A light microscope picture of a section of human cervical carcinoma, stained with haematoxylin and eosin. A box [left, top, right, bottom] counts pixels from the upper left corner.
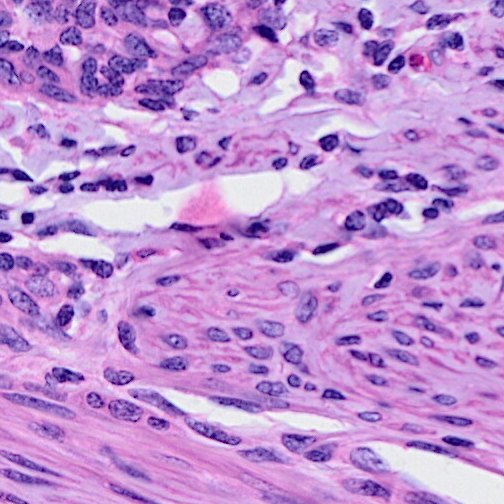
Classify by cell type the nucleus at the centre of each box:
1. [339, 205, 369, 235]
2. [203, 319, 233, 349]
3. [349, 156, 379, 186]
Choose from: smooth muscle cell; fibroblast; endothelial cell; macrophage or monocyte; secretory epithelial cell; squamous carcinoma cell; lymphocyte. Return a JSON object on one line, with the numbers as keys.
{"1": "lymphocyte", "2": "smooth muscle cell", "3": "lymphocyte"}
